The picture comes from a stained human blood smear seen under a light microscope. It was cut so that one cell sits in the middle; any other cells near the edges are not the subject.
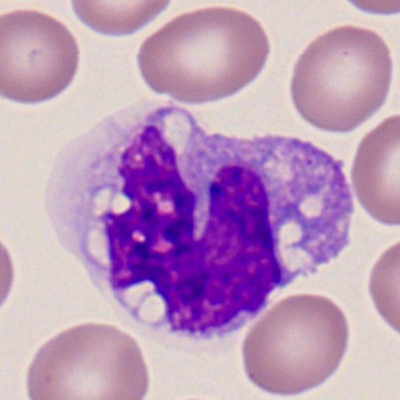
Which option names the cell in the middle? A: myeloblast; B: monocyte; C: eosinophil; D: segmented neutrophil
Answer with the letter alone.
B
